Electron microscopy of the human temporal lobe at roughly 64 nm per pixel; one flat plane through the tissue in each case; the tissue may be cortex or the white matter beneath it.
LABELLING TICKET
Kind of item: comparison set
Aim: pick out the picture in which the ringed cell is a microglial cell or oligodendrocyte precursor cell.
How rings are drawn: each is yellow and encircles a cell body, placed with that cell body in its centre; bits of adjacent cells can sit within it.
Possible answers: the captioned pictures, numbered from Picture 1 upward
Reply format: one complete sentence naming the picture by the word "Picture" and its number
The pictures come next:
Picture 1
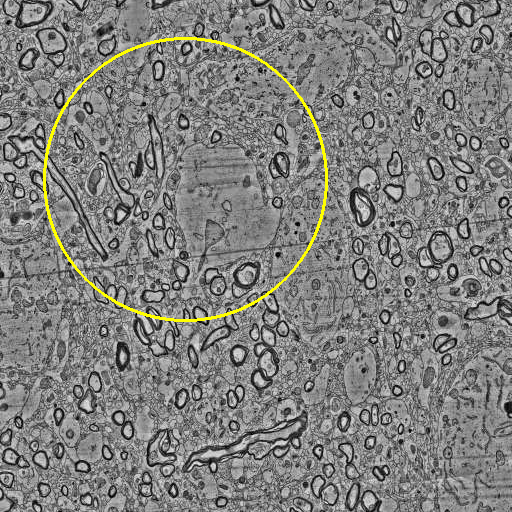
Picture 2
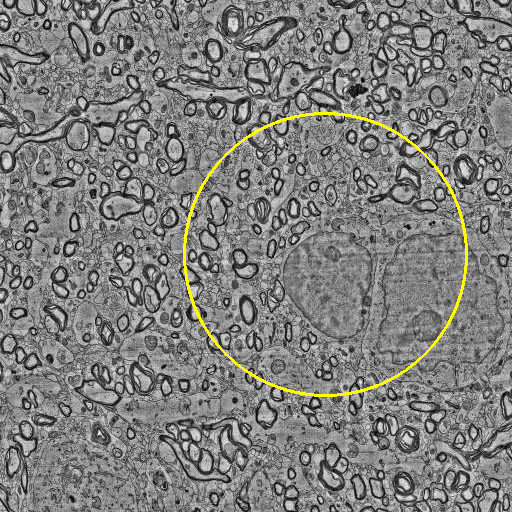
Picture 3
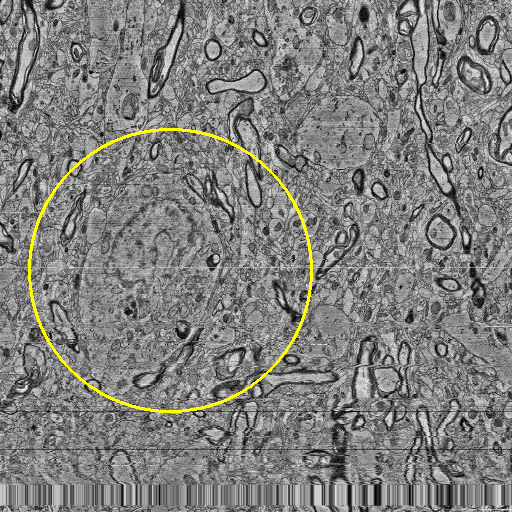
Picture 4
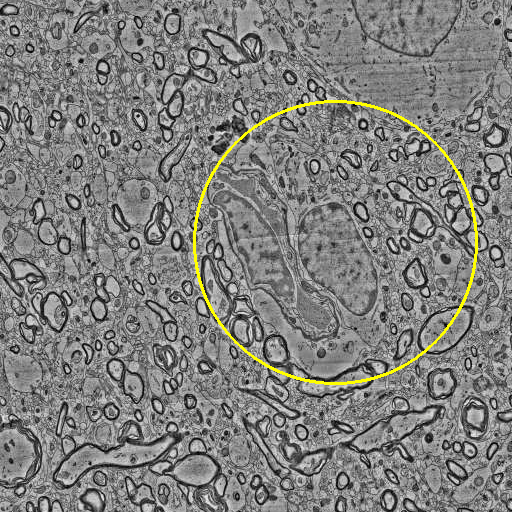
The cell centred inside the yellow ring in Picture 4 is the requested one.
